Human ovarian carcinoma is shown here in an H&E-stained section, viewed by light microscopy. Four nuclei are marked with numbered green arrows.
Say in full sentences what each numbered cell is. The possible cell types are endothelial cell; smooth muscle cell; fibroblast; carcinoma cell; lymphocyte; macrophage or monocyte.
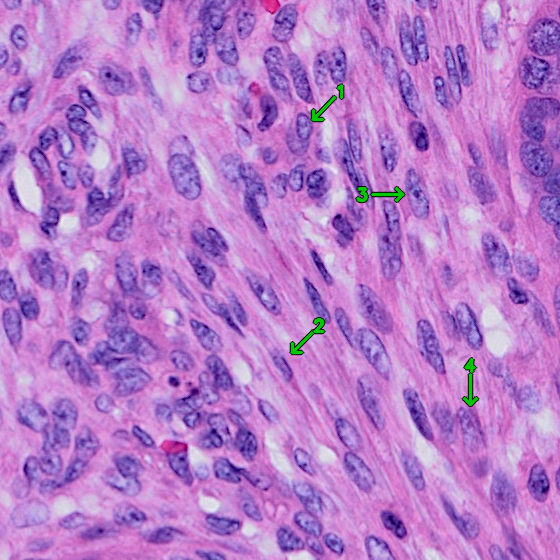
Cell 1 is an endothelial cell. Cells 2, 3 and 4 are fibroblasts.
